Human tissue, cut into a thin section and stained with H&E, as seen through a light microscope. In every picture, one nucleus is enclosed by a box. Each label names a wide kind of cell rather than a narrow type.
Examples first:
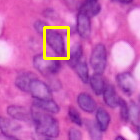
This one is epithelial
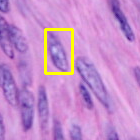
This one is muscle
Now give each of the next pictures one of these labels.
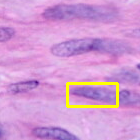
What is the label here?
muscle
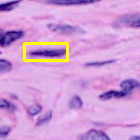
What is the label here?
muscle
